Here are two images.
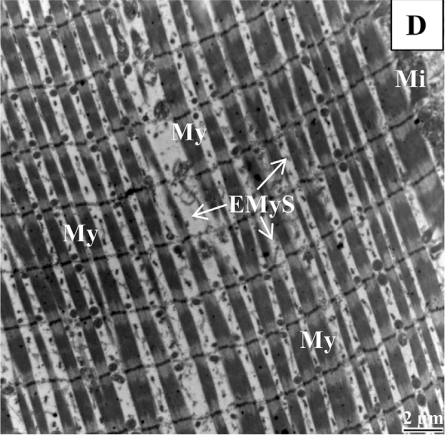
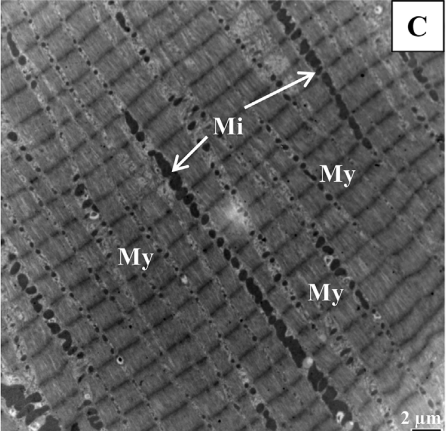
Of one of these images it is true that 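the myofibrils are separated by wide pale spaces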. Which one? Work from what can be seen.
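The first image. First image: myofibrils run as separate dark bands with broad pale gaps between them. Second image: myofibrils lie tightly packed with only narrow gaps filled by rows of mitochondria.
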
